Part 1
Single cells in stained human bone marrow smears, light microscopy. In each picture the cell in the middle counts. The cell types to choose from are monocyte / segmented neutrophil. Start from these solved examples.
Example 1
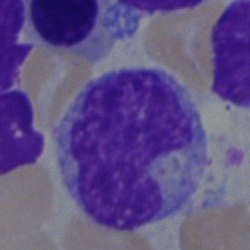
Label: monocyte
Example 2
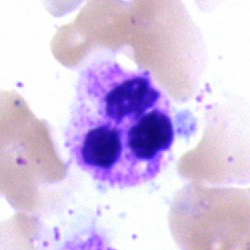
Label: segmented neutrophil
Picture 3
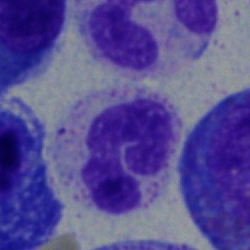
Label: segmented neutrophil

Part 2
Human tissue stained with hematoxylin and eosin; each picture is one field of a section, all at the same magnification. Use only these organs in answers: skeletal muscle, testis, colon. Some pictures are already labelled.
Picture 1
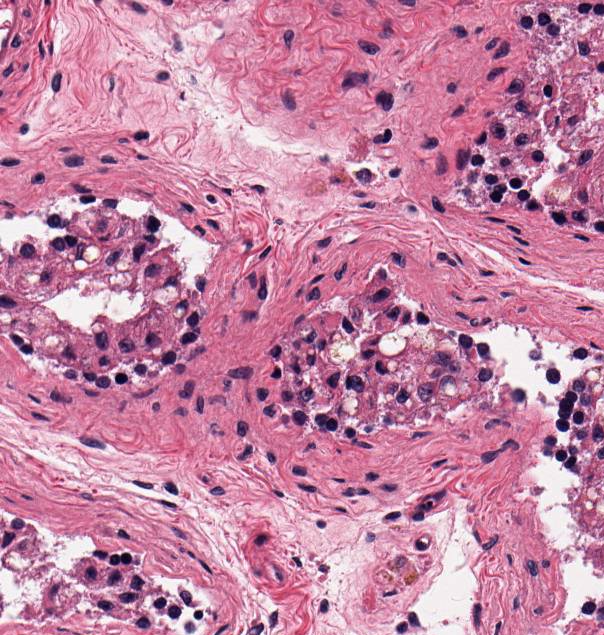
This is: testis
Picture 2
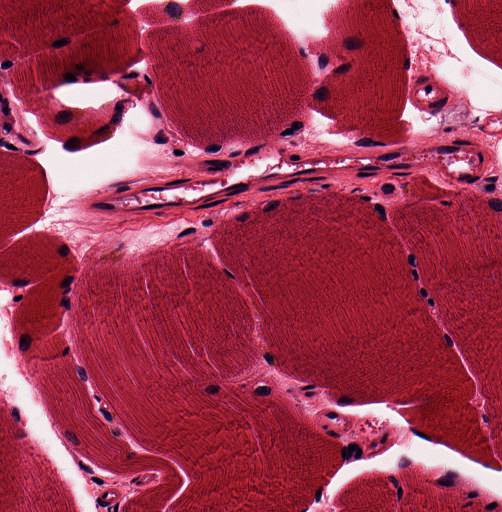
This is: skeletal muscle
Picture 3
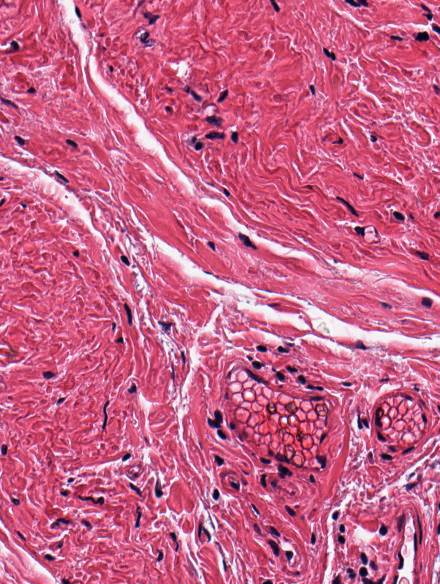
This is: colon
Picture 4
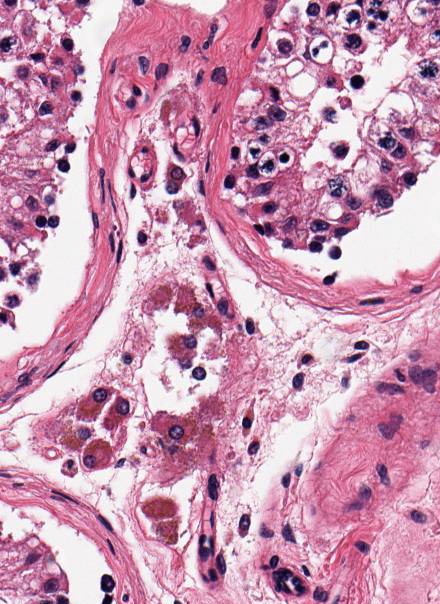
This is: testis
